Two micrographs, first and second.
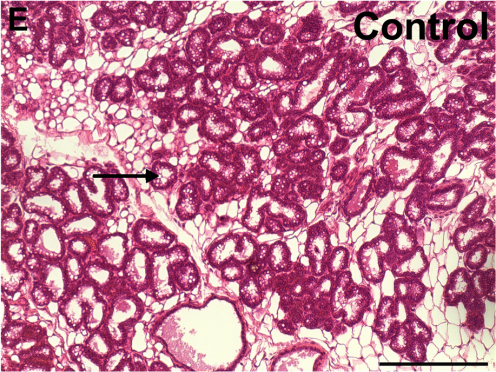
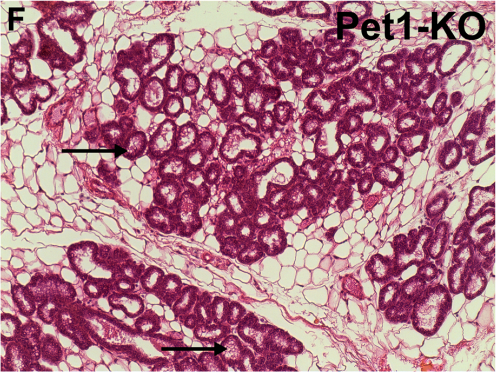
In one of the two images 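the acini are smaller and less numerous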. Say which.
The second image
